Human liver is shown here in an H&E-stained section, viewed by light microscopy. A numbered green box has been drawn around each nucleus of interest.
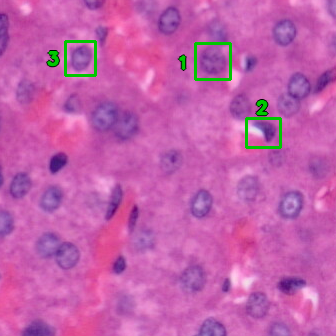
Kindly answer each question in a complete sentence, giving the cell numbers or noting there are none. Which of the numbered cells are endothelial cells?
Only nucleus 2 belongs to an endothelial cell; the other numbered nuclei do not.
